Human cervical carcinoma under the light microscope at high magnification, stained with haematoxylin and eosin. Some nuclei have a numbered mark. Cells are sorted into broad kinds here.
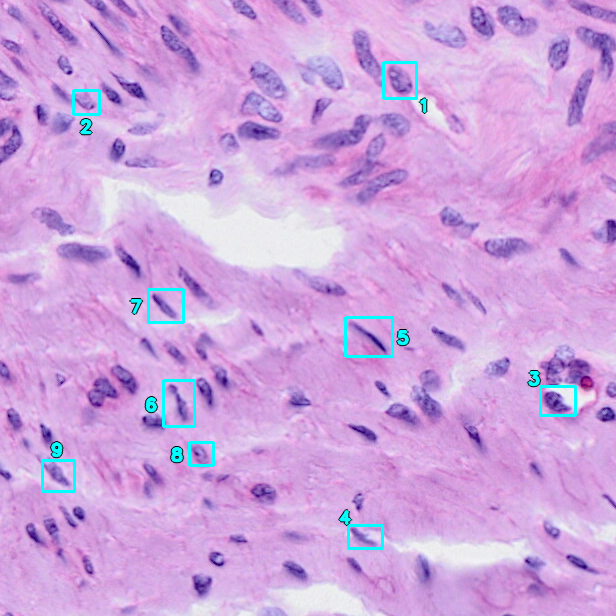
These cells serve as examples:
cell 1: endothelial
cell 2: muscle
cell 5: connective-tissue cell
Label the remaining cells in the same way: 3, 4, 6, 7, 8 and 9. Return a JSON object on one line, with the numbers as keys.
{"3": "endothelial", "4": "connective-tissue cell", "6": "connective-tissue cell", "7": "connective-tissue cell", "8": "muscle", "9": "connective-tissue cell"}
